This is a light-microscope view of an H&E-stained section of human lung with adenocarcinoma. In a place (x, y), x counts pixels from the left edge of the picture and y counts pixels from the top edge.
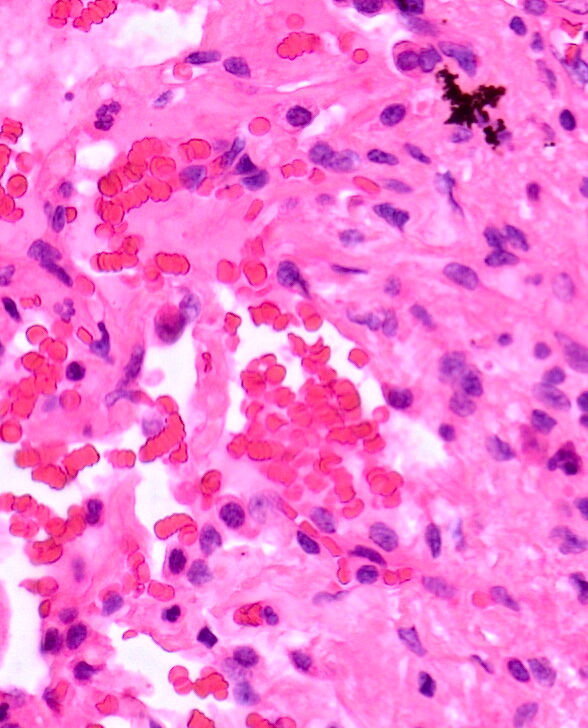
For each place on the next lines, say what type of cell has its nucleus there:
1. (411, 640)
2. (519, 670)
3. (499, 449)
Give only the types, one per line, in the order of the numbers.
fibroblast
mast cell
fibroblast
